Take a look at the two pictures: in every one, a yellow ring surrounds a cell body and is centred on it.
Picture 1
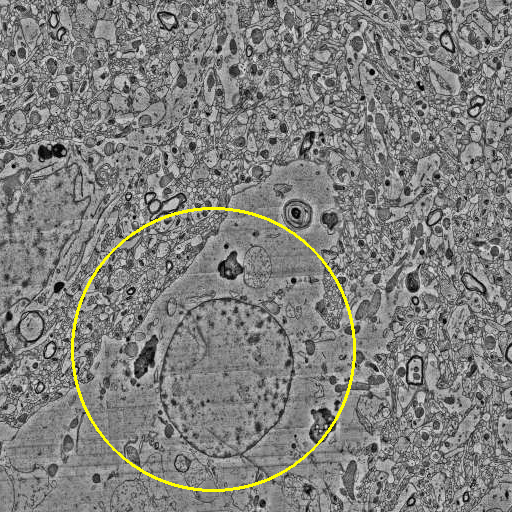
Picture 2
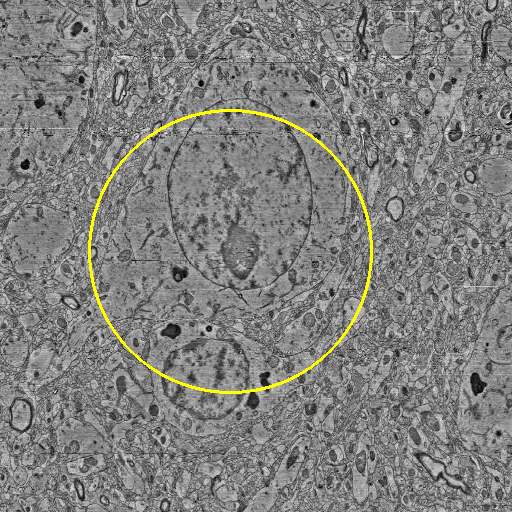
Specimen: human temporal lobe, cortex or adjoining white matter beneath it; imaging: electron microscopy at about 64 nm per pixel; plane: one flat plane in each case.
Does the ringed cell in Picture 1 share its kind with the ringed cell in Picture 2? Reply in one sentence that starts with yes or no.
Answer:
No, the two centred cells, one per picture, are of two kinds.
